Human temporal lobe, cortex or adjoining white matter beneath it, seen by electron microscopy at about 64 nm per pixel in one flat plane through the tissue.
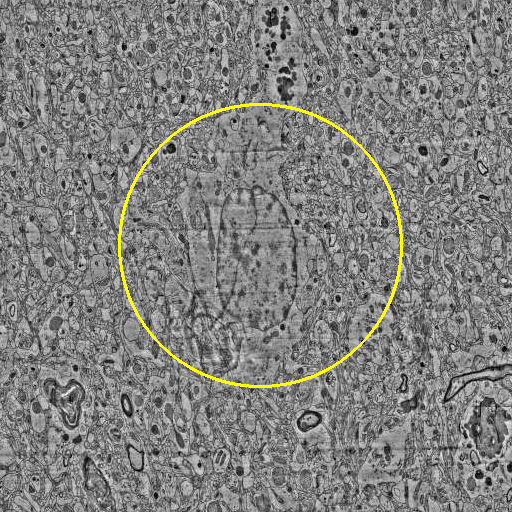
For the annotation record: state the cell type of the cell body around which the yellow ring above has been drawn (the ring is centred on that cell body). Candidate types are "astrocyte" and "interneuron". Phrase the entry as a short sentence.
The ringed cell is an astrocyte.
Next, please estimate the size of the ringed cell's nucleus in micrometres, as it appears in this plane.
The nucleus measures about 9 by 5 micrometres, so it is clearly longer than it is wide in this plane.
